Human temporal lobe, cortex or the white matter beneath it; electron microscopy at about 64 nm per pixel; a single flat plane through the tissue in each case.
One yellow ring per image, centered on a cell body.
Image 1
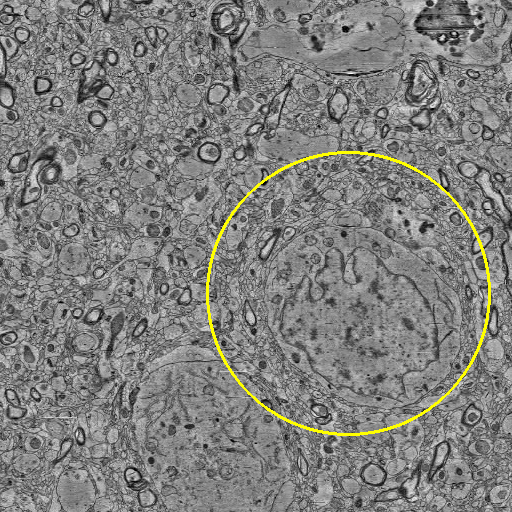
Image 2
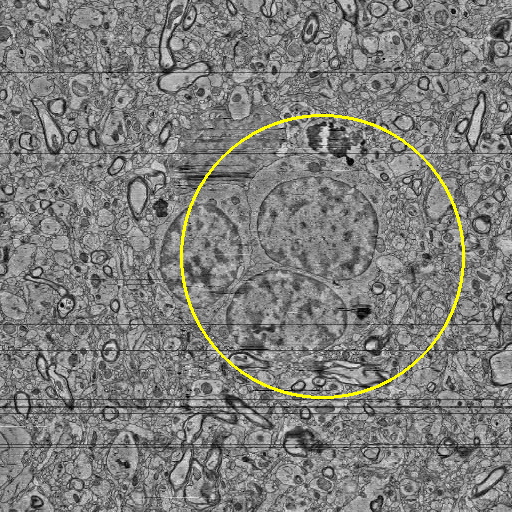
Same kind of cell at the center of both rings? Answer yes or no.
no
